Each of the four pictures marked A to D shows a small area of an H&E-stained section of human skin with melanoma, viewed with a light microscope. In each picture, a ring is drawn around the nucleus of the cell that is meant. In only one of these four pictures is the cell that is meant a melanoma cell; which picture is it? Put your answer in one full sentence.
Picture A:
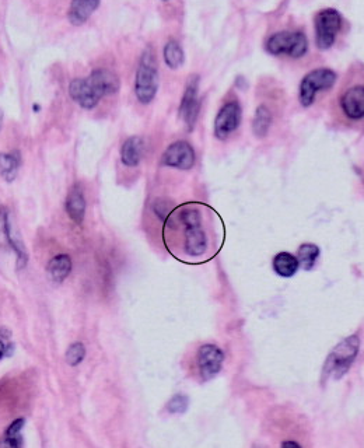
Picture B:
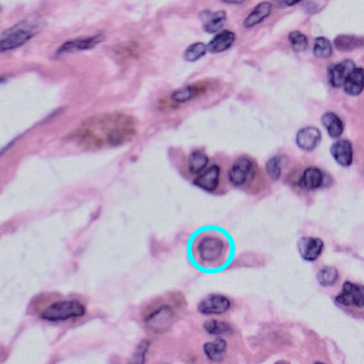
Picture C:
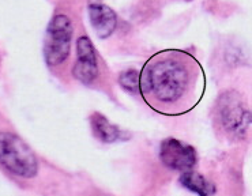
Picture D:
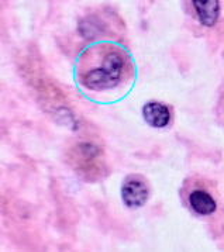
Picture C is the one that shows the melanoma cell.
